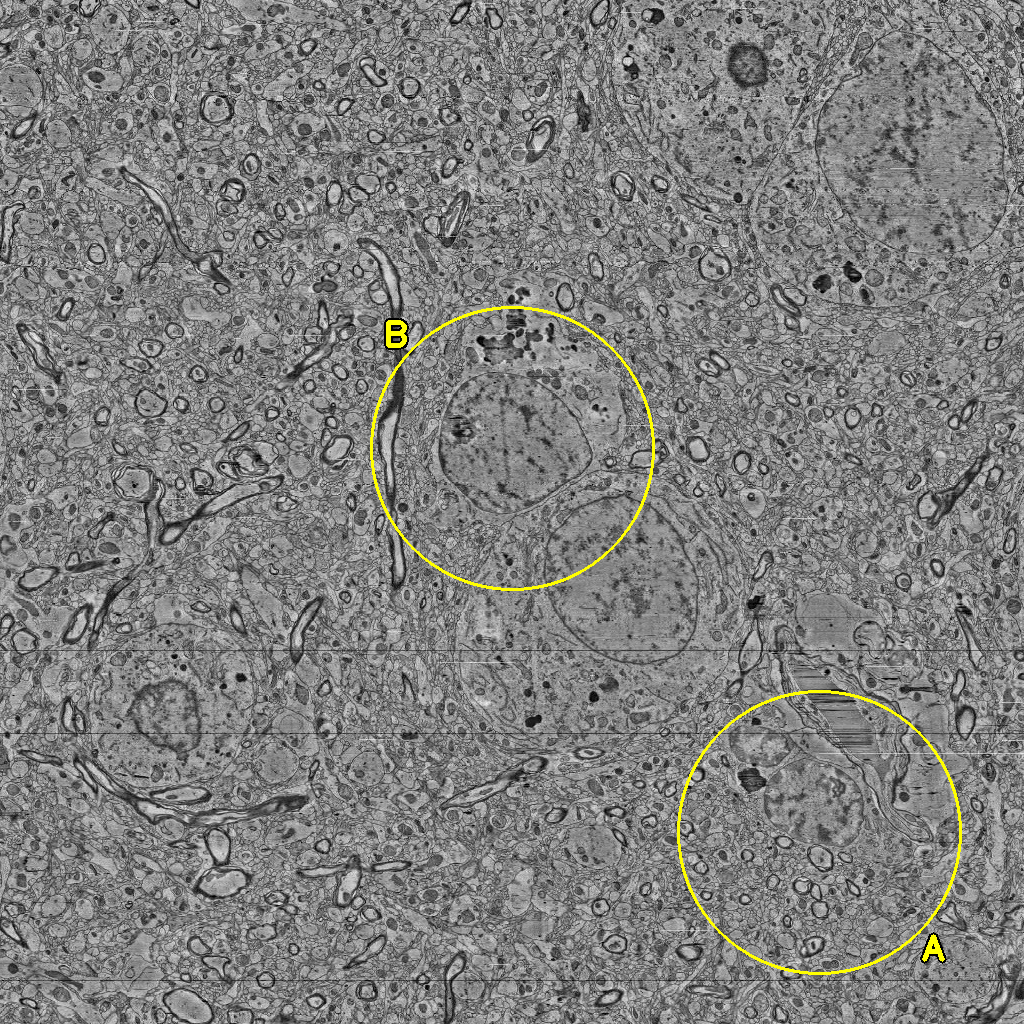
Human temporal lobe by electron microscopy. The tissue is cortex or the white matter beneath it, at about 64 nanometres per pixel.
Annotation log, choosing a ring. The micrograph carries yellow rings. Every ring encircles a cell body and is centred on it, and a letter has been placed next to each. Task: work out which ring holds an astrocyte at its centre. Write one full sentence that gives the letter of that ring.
In the micrograph, the ring centred on the cell asked for carries the letter B.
